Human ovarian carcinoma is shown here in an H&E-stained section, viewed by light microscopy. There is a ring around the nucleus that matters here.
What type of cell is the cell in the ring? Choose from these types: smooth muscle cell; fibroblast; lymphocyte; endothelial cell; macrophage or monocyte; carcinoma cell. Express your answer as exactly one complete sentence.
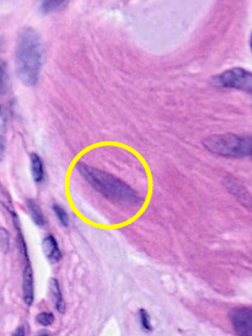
For the purposes of cell typing, the cell in the ring is categorized as a smooth muscle cell.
